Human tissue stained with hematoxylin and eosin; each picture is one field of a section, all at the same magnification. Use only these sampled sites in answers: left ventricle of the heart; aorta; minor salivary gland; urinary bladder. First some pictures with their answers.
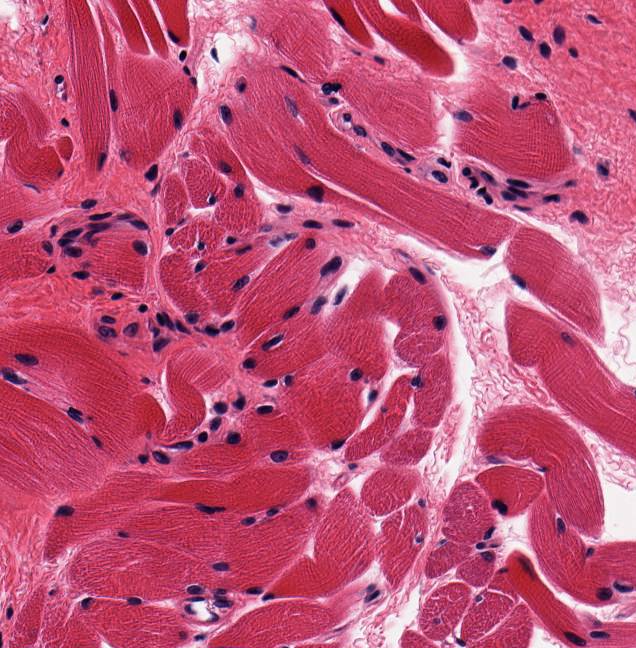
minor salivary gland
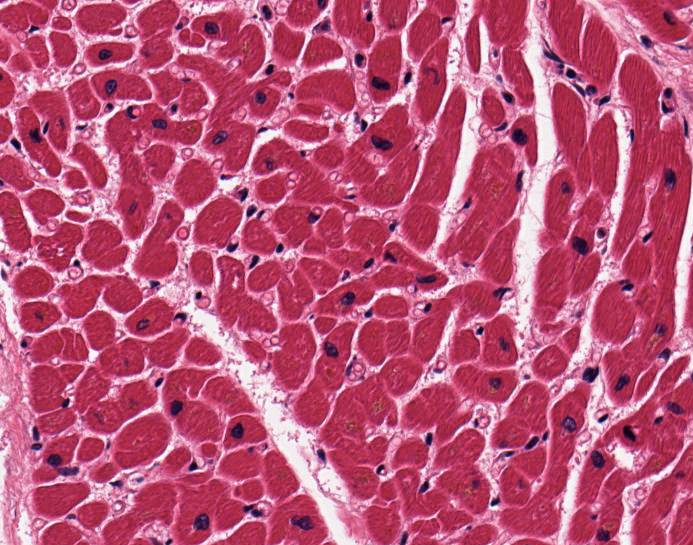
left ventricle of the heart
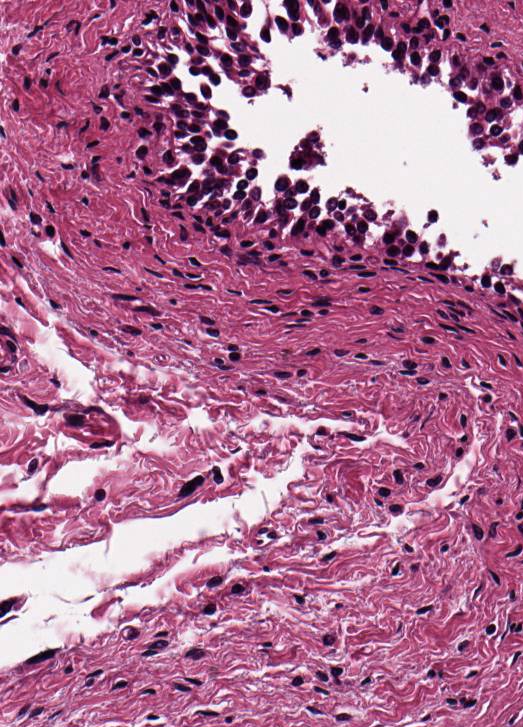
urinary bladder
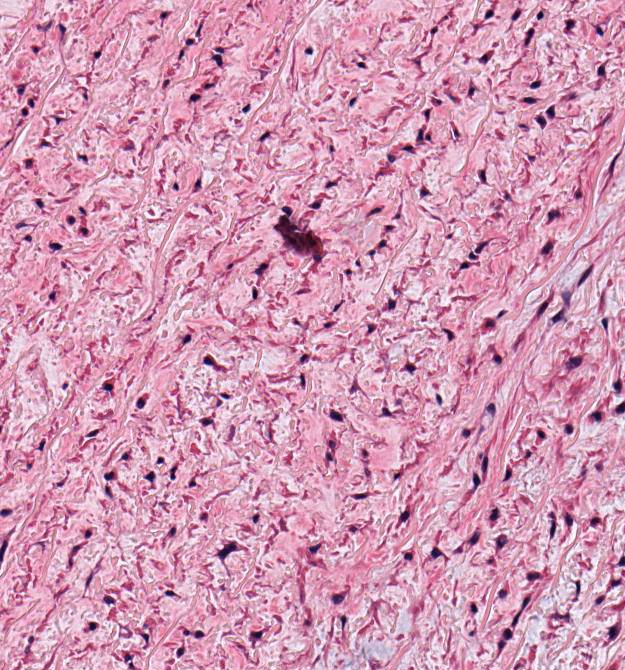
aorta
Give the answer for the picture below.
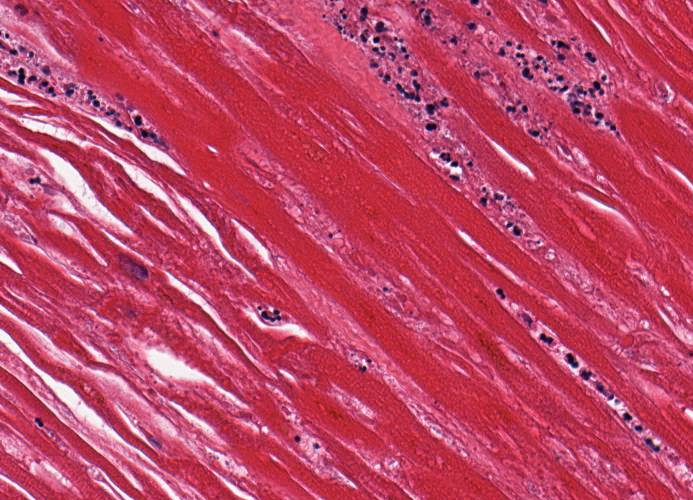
left ventricle of the heart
